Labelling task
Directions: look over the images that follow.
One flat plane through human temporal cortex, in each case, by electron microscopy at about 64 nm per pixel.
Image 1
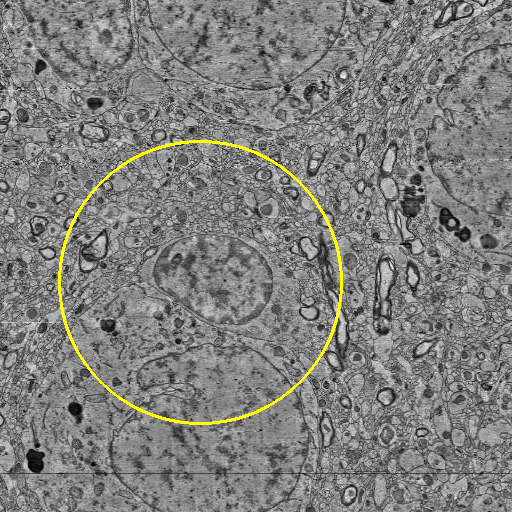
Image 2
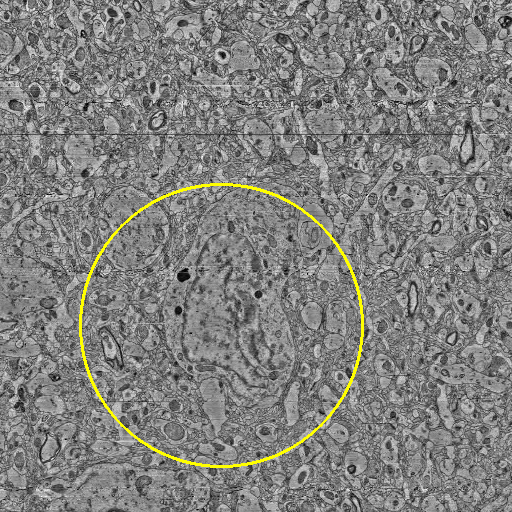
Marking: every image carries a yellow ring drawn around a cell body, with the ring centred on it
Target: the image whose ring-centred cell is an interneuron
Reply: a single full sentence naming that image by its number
The requested cell sits at the ring's centre in Image 2.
